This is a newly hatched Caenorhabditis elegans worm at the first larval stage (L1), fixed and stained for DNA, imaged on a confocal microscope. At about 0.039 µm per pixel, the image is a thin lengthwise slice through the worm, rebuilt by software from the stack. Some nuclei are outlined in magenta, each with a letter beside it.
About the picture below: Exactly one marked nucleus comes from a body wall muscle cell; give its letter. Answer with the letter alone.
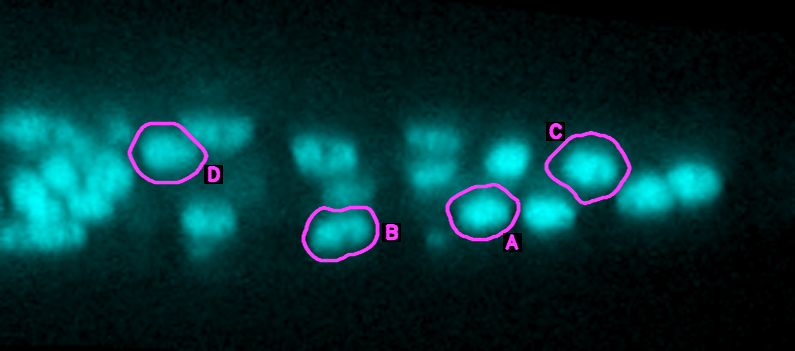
B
